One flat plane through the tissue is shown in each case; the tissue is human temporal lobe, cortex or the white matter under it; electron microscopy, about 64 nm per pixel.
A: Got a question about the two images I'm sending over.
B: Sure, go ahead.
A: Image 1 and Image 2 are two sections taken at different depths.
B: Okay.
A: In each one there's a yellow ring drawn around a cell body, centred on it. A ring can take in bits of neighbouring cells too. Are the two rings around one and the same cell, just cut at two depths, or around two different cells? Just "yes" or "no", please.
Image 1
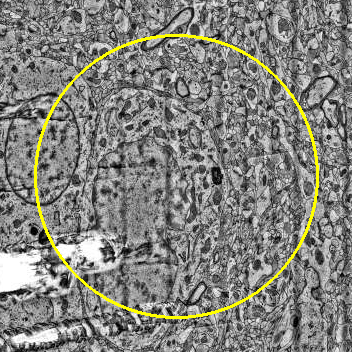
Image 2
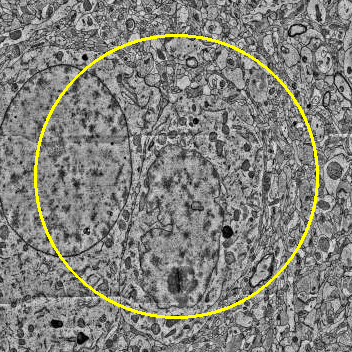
yes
